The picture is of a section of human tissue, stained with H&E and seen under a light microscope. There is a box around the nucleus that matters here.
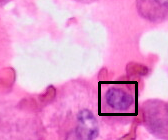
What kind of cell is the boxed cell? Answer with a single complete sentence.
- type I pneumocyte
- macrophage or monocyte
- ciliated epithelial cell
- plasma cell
What the boxed cell represents is a macrophage or monocyte.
